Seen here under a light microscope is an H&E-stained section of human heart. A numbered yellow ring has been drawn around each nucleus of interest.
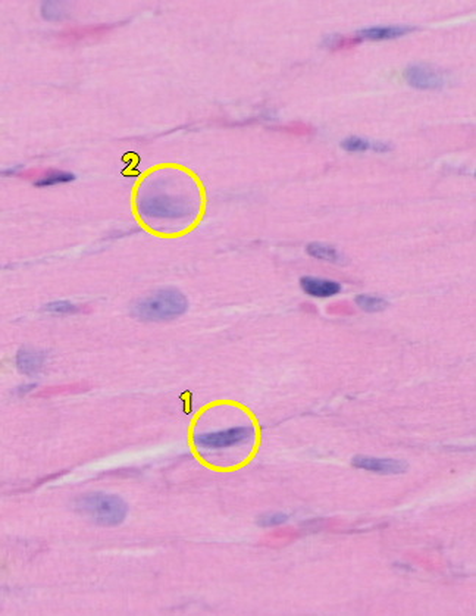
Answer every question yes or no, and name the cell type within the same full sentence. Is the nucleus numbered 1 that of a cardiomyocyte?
No, an endothelial cell is what cell 1 is, not a cardiomyocyte.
